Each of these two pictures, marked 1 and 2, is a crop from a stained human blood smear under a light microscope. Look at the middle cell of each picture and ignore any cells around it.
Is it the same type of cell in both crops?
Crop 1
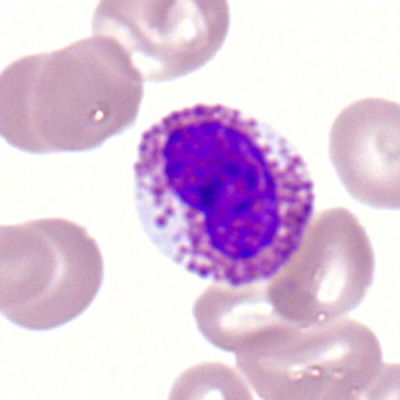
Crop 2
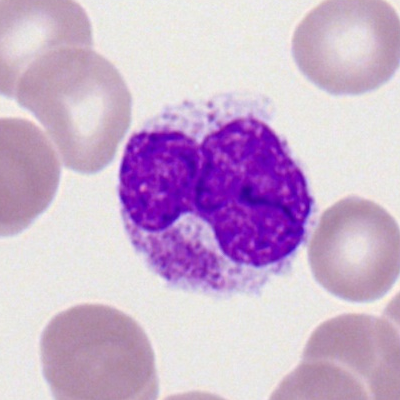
yes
